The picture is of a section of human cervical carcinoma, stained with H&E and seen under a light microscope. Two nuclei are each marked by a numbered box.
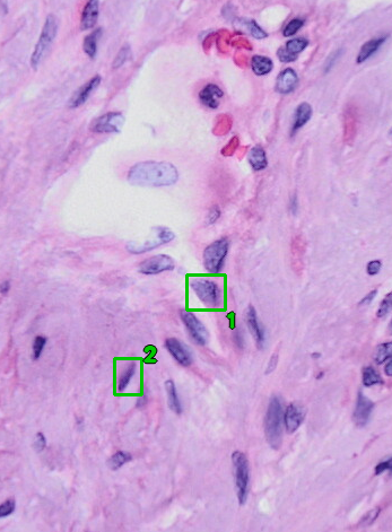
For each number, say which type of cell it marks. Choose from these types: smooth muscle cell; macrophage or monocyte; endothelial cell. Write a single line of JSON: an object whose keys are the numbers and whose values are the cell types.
{"1": "endothelial cell", "2": "smooth muscle cell"}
